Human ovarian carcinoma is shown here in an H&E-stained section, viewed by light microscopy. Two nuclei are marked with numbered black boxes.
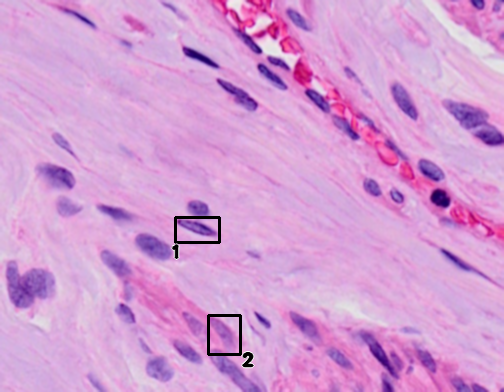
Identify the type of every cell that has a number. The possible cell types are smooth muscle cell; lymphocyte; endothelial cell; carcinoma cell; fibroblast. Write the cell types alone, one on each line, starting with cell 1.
fibroblast
smooth muscle cell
